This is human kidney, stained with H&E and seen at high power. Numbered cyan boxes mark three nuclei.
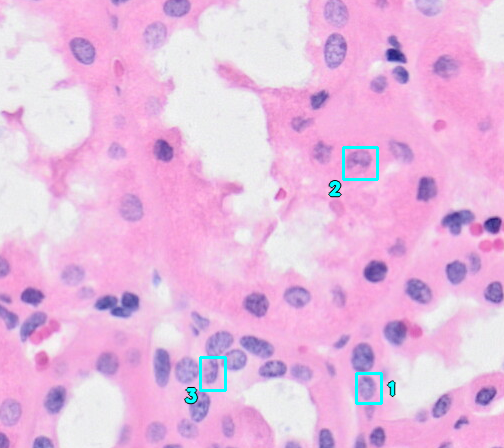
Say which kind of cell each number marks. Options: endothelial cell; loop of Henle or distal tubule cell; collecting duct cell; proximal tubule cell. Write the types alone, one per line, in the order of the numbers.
collecting duct cell
proximal tubule cell
collecting duct cell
